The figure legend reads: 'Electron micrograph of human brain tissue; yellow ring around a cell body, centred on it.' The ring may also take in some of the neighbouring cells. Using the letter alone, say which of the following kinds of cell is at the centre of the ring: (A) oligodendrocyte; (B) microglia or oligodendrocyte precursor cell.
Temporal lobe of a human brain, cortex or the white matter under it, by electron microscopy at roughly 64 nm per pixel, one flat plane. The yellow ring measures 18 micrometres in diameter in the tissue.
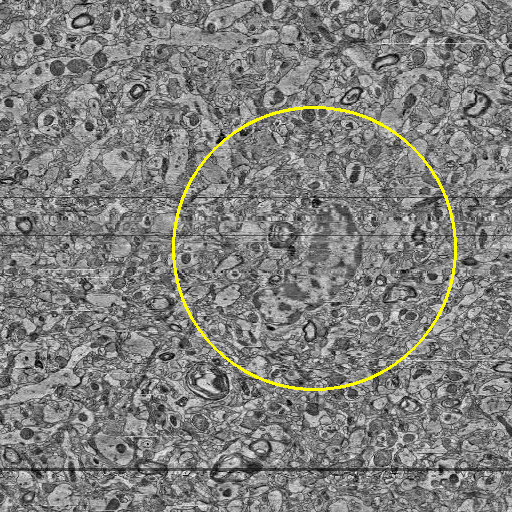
B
